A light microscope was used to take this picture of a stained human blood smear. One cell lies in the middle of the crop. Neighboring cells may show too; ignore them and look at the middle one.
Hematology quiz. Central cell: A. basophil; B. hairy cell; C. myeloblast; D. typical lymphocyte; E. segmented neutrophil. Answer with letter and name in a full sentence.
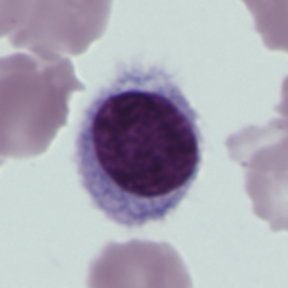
The cell at the heart of the crop is a hairy cell, so choose option B.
